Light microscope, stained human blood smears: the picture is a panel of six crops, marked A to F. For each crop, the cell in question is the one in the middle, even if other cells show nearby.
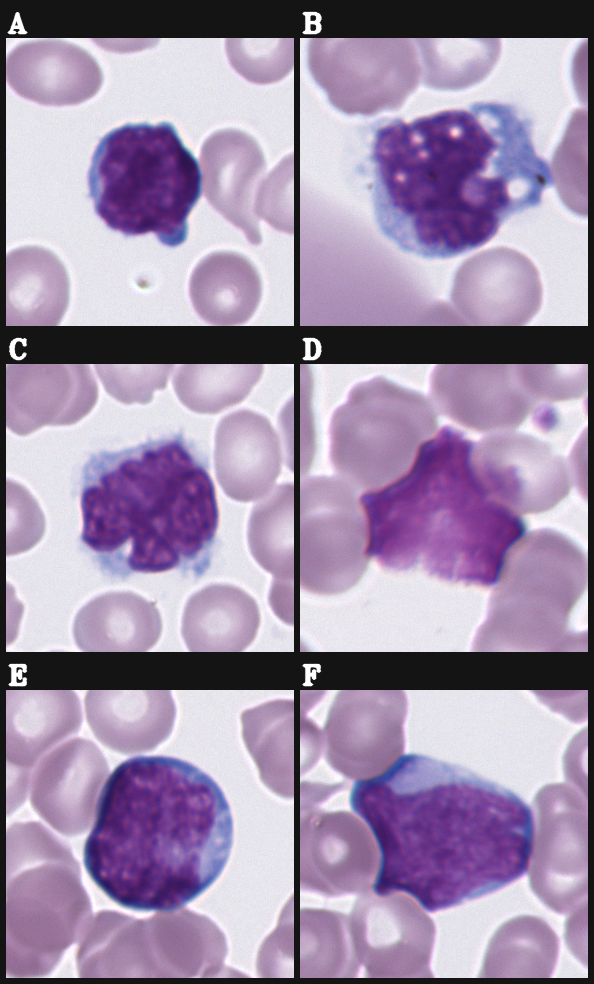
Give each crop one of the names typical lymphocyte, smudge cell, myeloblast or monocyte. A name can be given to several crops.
A: typical lymphocyte
B: monocyte
C: monocyte
D: smudge cell
E: myeloblast
F: myeloblast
